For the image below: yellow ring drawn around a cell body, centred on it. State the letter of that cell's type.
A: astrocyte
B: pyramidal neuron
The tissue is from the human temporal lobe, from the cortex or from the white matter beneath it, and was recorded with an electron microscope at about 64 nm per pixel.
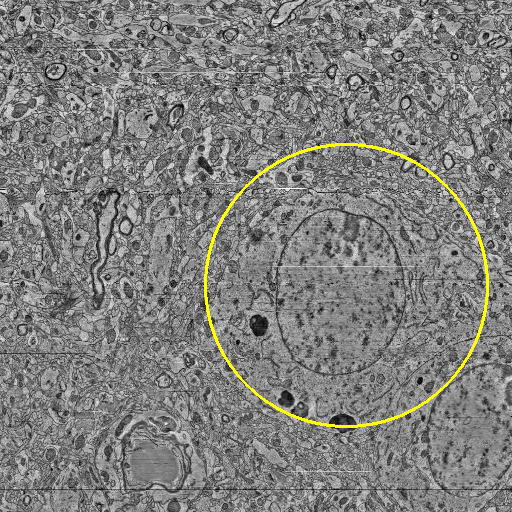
B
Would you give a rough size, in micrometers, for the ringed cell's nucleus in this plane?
The ringed cell's nucleus measures approximately 11 by 9 micrometres in this plane.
